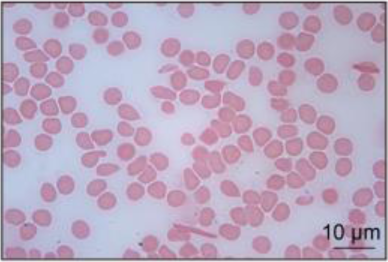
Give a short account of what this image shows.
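Peripheral blood smear of anucleate red blood cells, set more sparsely than in a crowded smear, with clear gaps between groups of cells. No larger bluish-purple cells are seen among them. A few cells are elongated, fragmented or irregular in outline. No nucleated cells are present in the field.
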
